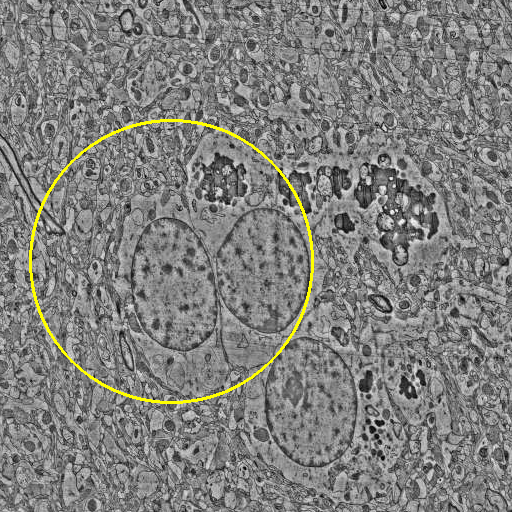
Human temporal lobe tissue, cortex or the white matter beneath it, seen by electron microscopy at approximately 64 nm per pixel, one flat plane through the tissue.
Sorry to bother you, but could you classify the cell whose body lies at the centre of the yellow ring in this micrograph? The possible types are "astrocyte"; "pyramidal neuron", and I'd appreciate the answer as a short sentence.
The ringed cell body is that of an astrocyte.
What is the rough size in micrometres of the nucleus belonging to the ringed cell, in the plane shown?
About 8 by 5 micrometres, the nucleus being clearly longer than it is wide in this plane.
